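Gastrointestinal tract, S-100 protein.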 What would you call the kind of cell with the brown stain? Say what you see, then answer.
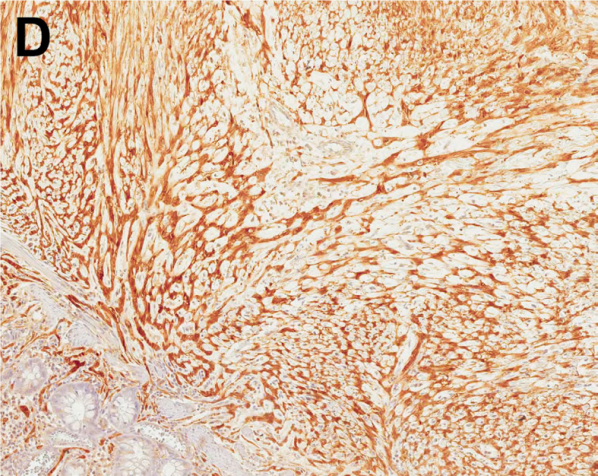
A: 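Spindle cells throughout the mass are strongly brown. Glands at the lower left remain unstained. So: Tumor cells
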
